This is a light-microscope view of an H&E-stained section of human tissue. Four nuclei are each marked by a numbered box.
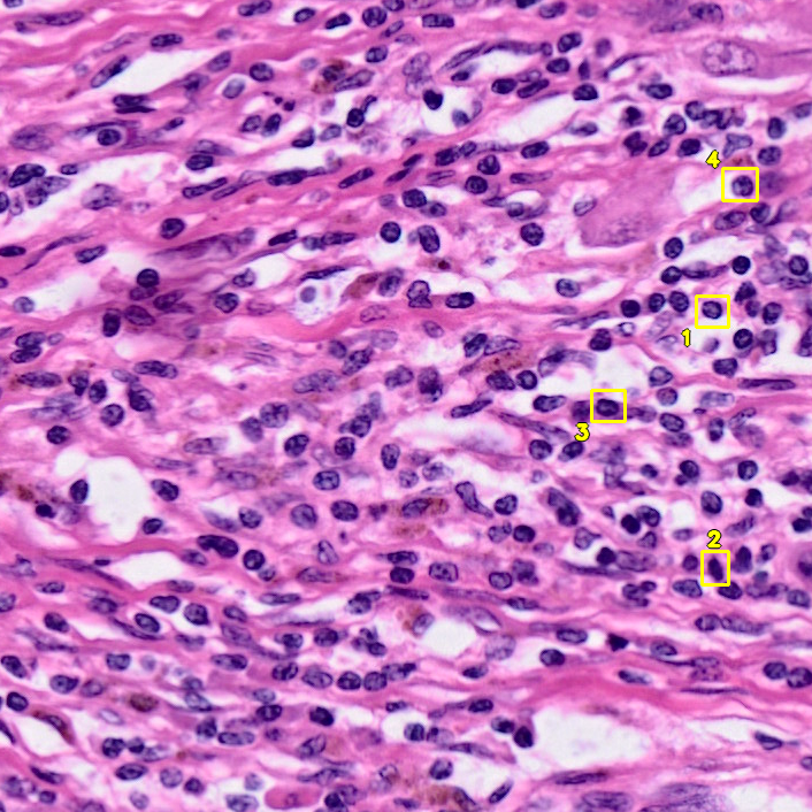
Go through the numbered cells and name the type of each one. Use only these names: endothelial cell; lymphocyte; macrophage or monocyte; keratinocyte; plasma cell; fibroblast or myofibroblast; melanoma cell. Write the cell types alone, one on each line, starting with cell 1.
lymphocyte
lymphocyte
plasma cell
lymphocyte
